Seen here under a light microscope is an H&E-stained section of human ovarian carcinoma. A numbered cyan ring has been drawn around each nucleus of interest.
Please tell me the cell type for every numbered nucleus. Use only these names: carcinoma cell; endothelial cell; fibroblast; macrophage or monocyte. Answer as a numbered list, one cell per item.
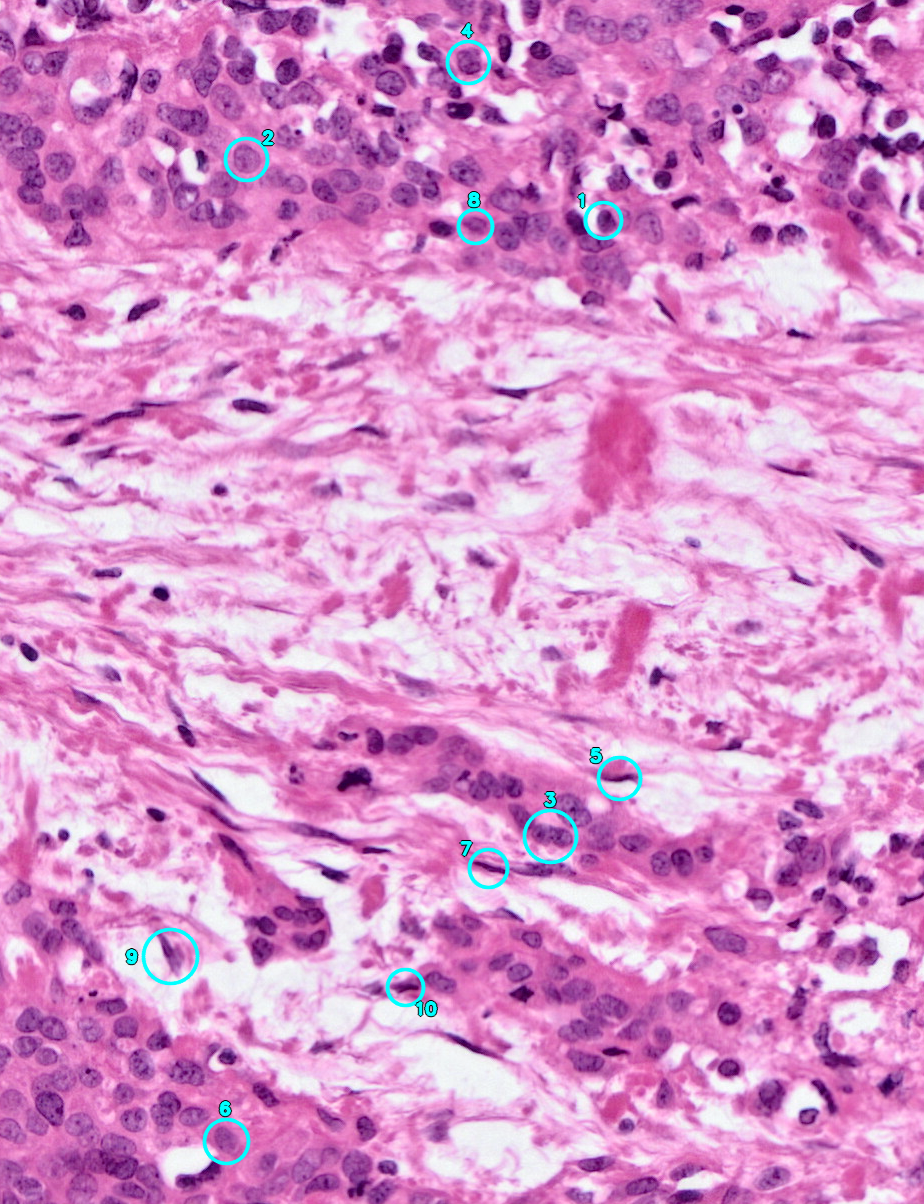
1. carcinoma cell
2. carcinoma cell
3. carcinoma cell
4. macrophage or monocyte
5. fibroblast
6. carcinoma cell
7. fibroblast
8. carcinoma cell
9. fibroblast
10. fibroblast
